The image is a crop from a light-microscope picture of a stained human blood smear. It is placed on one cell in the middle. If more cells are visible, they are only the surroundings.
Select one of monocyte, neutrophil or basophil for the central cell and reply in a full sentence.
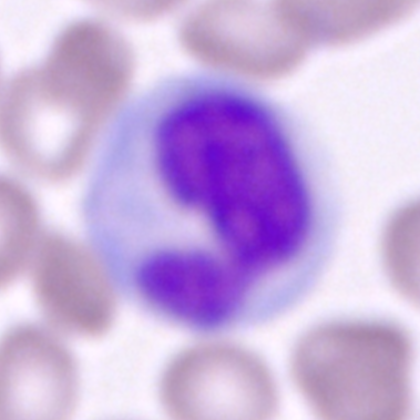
Centred in the crop is a monocyte.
